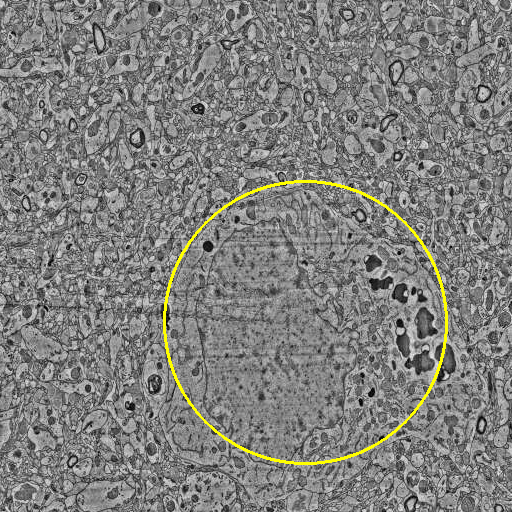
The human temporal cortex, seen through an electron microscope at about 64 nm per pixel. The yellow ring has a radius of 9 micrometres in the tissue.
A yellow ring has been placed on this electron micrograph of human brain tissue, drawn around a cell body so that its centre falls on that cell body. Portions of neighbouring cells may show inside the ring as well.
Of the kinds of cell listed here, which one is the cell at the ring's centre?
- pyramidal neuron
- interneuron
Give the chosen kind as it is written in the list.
interneuron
